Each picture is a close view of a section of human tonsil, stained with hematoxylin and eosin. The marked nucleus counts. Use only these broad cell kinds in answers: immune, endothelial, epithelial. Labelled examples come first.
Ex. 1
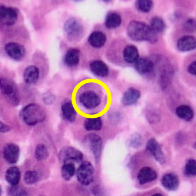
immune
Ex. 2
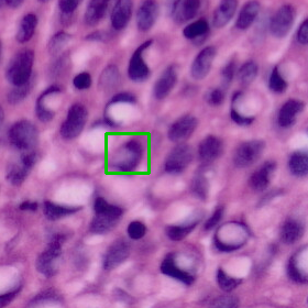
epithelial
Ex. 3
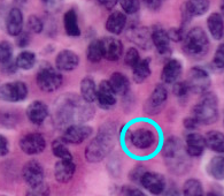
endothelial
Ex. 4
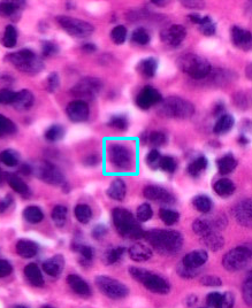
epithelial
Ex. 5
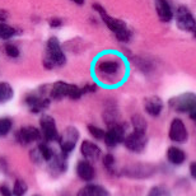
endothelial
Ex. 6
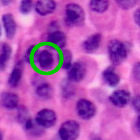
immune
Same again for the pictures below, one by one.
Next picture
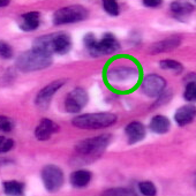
endothelial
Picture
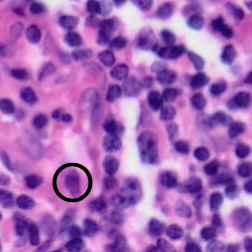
endothelial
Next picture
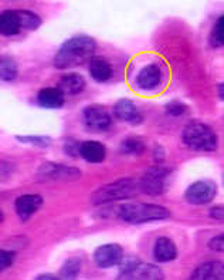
immune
